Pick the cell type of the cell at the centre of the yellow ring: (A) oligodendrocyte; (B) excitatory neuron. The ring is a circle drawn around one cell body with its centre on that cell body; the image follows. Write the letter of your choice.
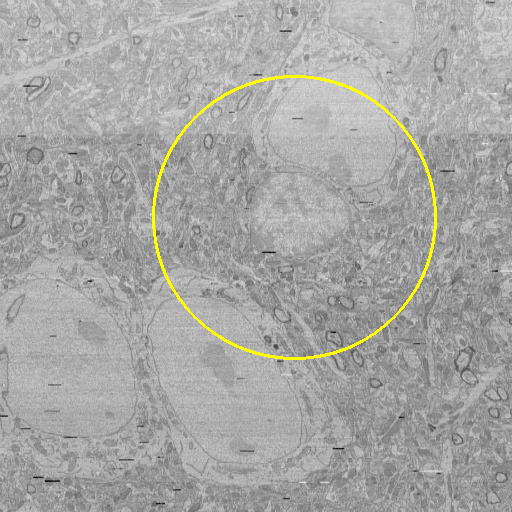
A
